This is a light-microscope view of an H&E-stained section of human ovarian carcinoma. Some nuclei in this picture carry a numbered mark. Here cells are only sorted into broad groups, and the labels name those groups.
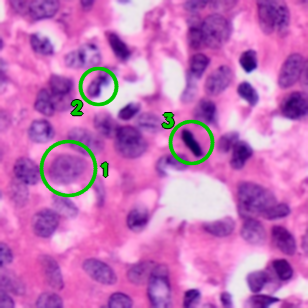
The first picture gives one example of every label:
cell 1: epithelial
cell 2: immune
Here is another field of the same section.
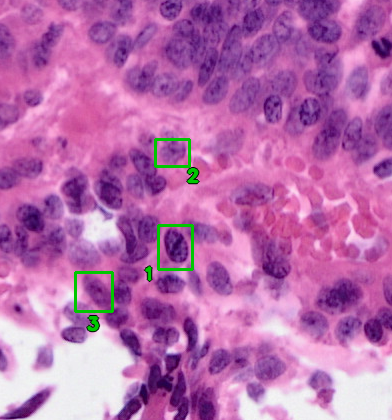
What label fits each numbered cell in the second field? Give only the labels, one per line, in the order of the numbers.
immune
immune
epithelial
